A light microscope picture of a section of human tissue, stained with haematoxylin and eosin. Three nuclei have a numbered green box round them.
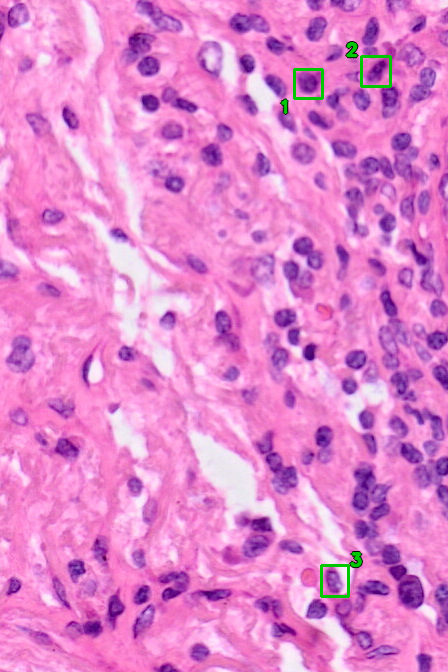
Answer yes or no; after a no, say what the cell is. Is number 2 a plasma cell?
Yes.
